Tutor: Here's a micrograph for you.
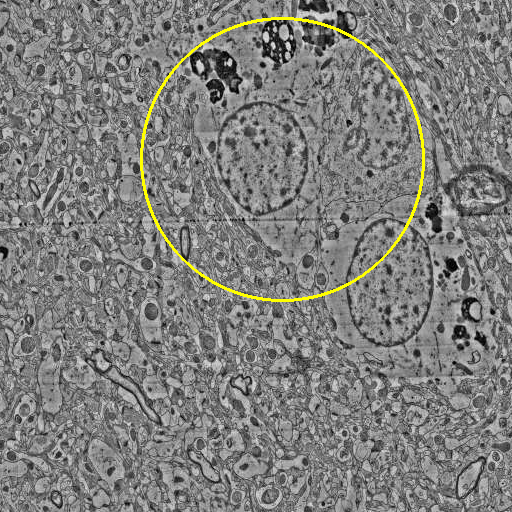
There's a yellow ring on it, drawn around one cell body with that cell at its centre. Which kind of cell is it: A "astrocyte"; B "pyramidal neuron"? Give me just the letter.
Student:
A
